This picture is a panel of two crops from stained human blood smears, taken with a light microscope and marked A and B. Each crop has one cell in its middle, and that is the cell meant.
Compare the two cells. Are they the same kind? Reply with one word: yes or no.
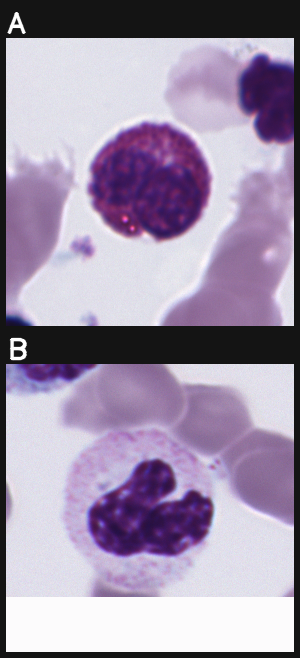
no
